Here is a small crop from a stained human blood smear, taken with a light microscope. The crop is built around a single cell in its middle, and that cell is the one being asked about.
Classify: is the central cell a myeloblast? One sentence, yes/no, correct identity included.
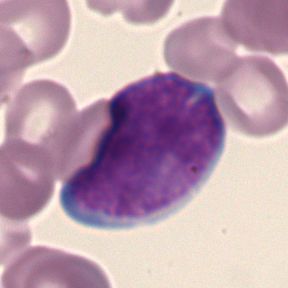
Yes, the one cell at the centre is a myeloblast.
